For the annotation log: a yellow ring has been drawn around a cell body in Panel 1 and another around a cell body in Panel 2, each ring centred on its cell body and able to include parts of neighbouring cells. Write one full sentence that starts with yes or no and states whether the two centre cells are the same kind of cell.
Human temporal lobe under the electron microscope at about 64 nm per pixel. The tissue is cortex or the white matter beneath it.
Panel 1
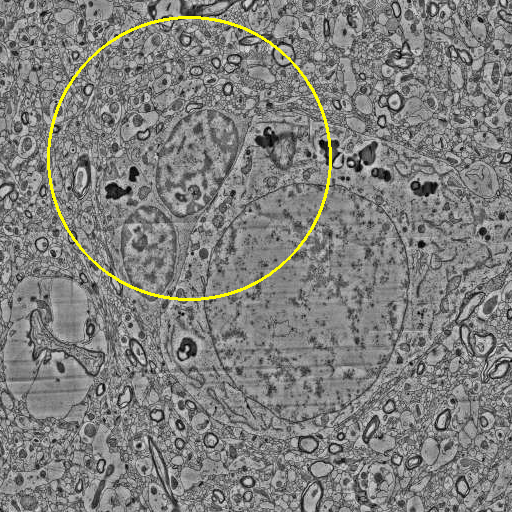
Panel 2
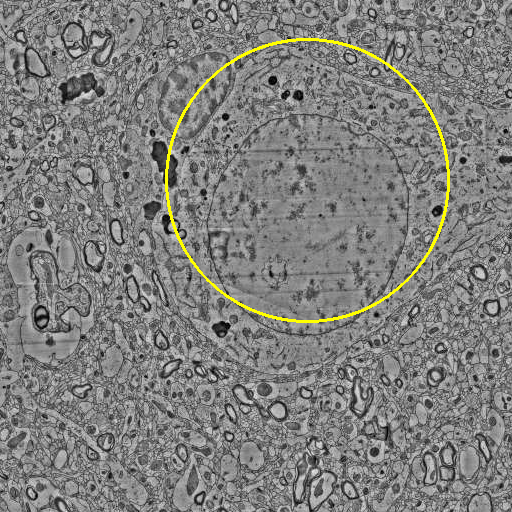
No, the two centre cells are two kinds of cell.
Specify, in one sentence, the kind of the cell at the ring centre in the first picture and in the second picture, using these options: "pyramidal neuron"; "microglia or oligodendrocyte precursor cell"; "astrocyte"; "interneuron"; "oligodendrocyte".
So the first is an oligodendrocyte, the second a pyramidal neuron.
